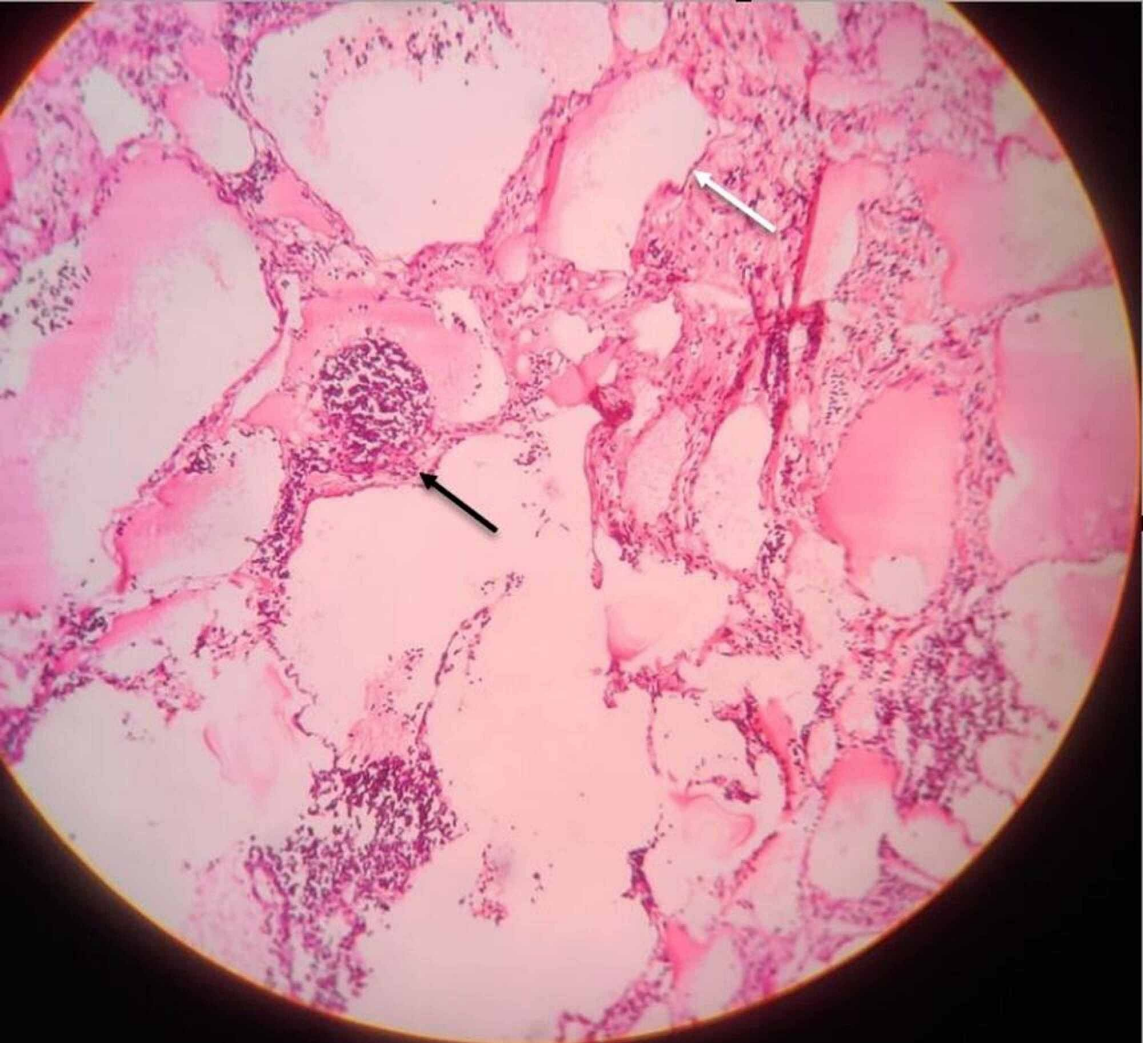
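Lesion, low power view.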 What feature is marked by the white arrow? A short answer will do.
Dilated lymphatic channel.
